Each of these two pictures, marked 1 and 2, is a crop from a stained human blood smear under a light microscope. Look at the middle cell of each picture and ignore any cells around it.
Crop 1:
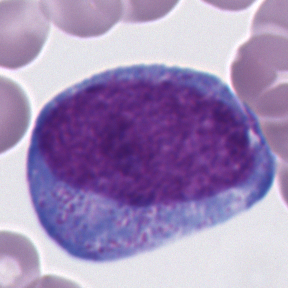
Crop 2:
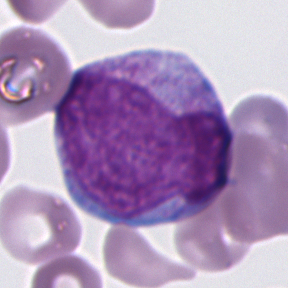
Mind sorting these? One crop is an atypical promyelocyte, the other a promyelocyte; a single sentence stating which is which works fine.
The central cell of crop 1 is a promyelocyte, and that of crop 2 is an atypical promyelocyte.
